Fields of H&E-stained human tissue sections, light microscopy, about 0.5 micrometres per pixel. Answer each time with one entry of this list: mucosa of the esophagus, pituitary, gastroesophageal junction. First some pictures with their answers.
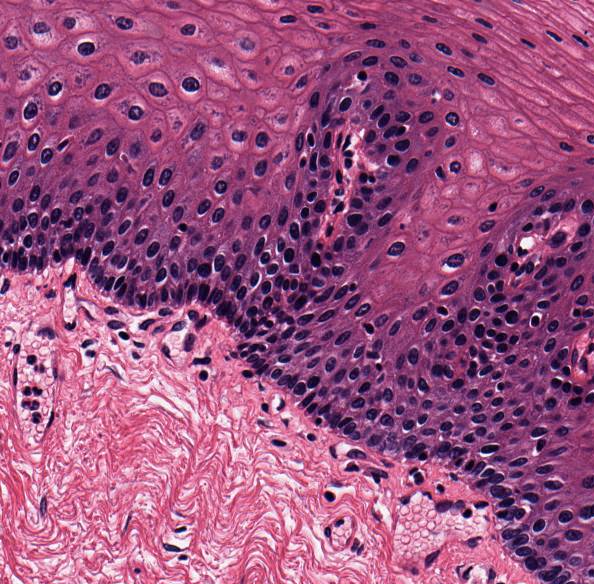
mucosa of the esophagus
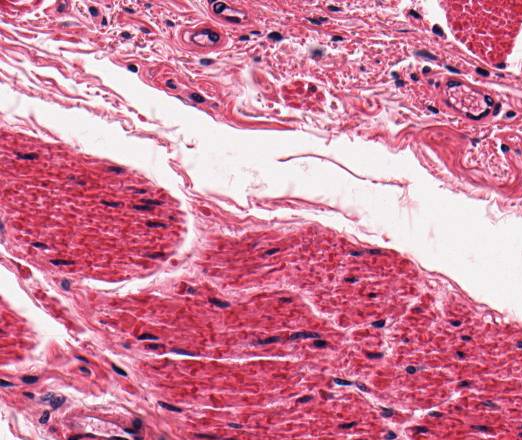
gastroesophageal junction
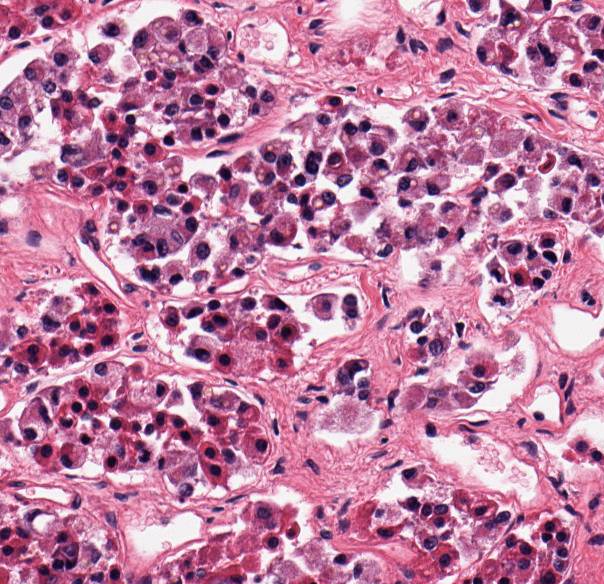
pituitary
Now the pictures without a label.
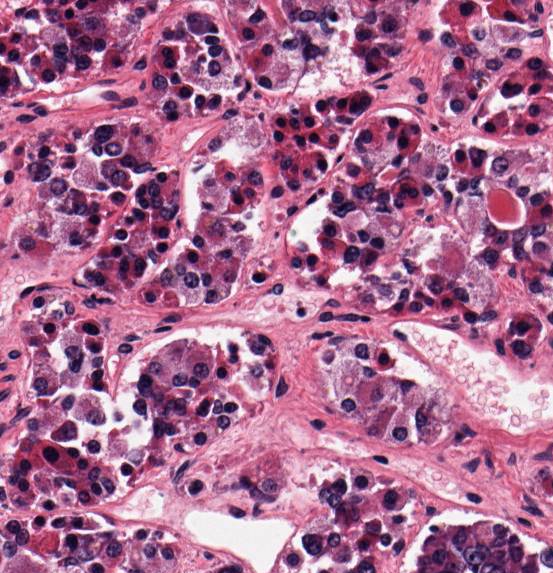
pituitary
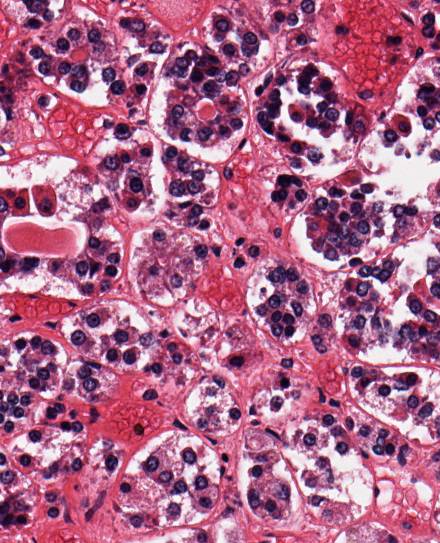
pituitary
